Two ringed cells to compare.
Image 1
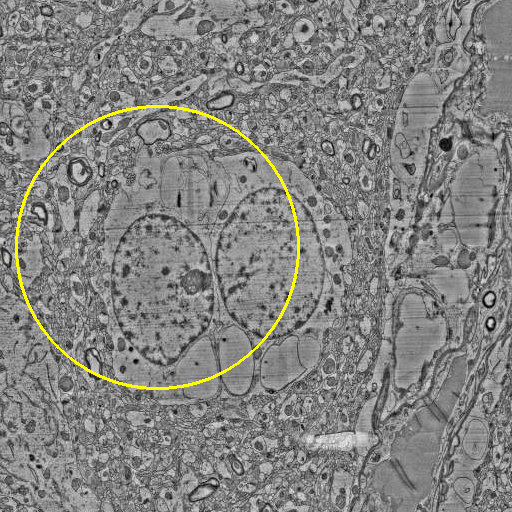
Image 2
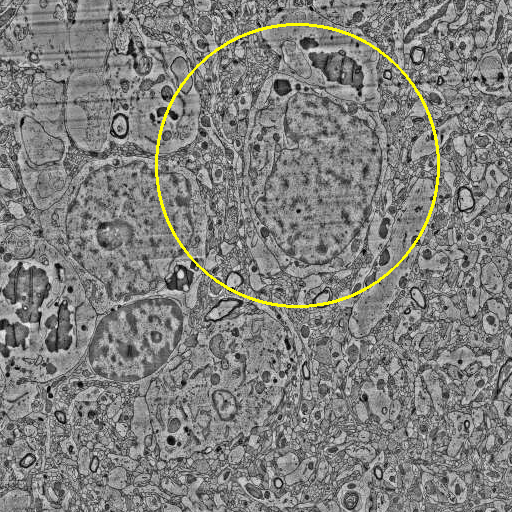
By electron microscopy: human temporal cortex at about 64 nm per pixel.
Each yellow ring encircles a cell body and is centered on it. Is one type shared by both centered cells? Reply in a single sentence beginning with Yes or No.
No, two types are found among the cells at the centers of the rings.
